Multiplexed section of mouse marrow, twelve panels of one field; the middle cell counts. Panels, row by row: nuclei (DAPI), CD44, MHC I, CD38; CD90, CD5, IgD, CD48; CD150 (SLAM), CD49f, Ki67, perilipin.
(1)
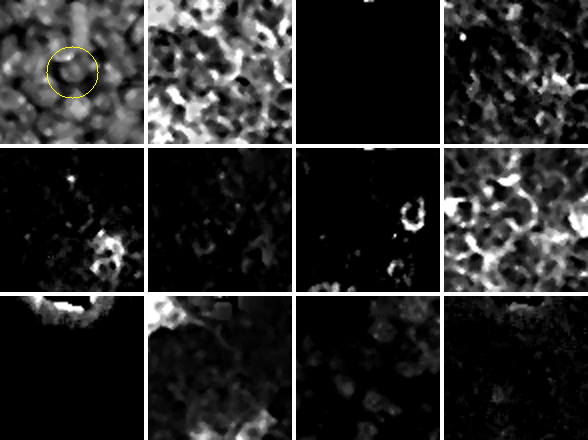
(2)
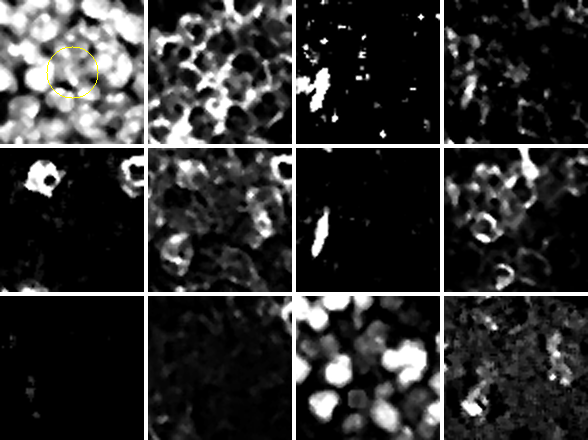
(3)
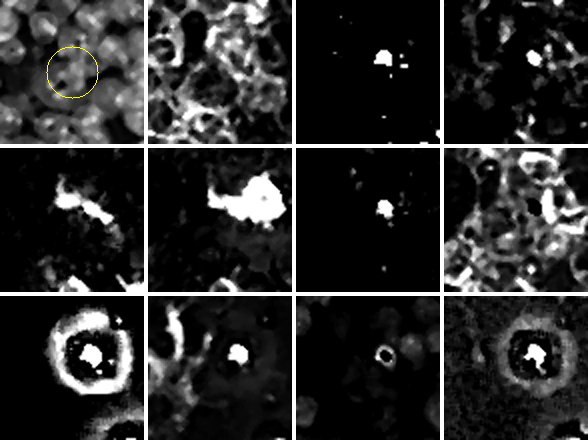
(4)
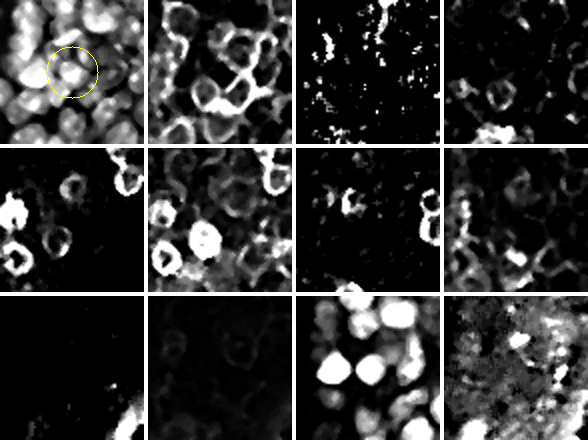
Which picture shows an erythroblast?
Picture 4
